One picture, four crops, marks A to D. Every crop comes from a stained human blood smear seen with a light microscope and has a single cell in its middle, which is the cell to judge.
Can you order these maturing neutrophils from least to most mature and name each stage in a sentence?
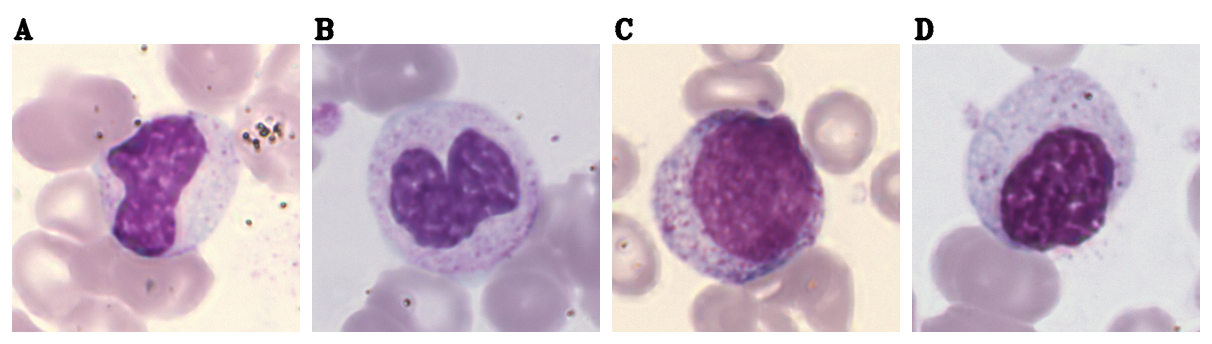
From the least mature to the most mature, the order reads crop C (a promyelocyte), crop D (a myelocyte), crop A (a metamyelocyte) and crop B (a band neutrophil).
